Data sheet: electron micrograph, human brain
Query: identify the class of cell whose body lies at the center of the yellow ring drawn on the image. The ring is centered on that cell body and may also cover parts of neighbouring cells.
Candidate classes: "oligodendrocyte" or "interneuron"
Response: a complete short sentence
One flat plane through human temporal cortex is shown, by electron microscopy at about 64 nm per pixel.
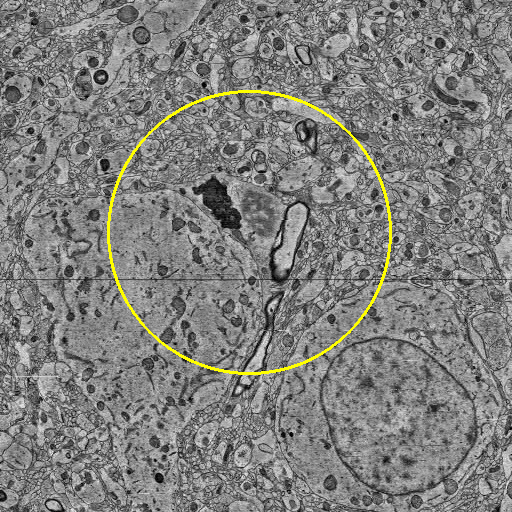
At the center of the ring lies an oligodendrocyte.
